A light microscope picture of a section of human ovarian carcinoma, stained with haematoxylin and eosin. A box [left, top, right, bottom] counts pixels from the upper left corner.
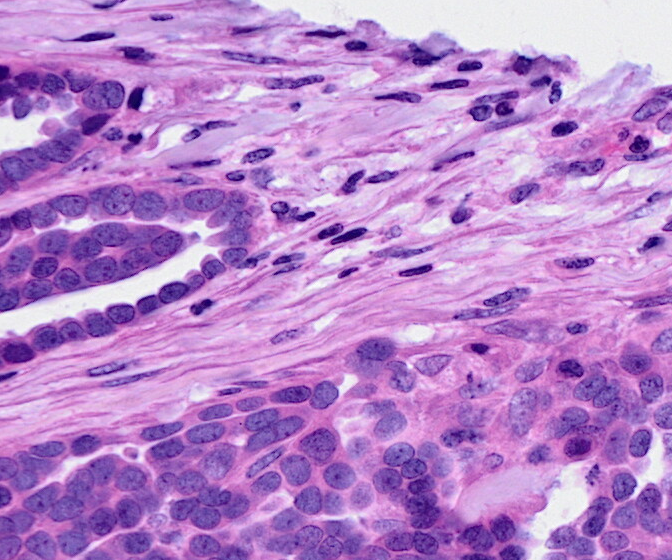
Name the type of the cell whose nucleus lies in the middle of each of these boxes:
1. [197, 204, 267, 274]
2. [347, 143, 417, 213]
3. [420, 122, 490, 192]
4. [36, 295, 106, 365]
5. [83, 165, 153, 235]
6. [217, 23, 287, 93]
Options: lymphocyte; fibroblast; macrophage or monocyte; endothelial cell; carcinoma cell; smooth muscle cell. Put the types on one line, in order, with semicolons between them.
carcinoma cell; fibroblast; fibroblast; carcinoma cell; carcinoma cell; fibroblast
